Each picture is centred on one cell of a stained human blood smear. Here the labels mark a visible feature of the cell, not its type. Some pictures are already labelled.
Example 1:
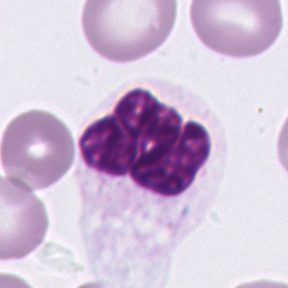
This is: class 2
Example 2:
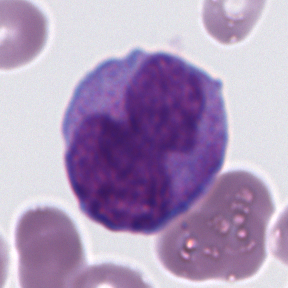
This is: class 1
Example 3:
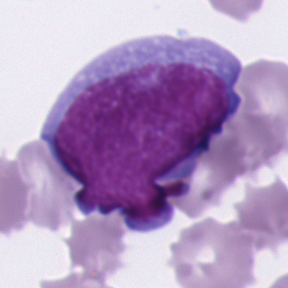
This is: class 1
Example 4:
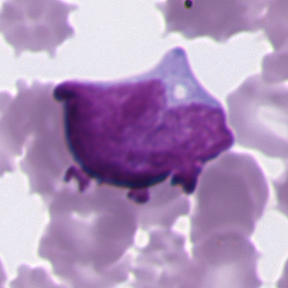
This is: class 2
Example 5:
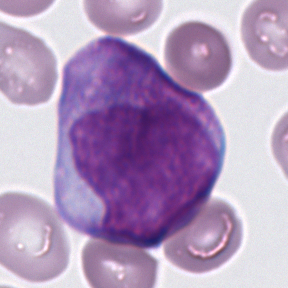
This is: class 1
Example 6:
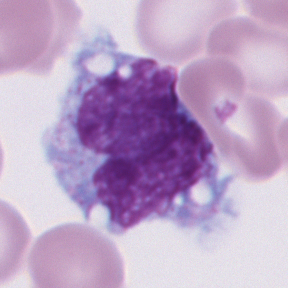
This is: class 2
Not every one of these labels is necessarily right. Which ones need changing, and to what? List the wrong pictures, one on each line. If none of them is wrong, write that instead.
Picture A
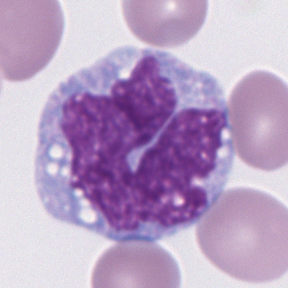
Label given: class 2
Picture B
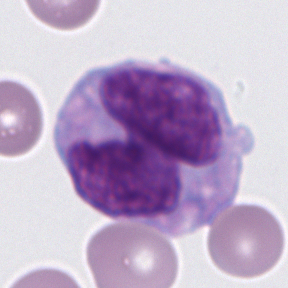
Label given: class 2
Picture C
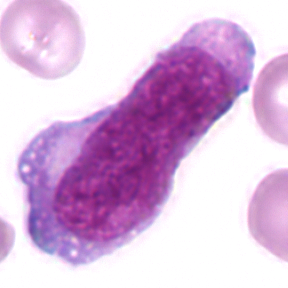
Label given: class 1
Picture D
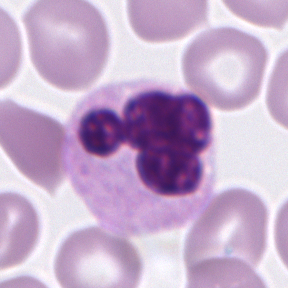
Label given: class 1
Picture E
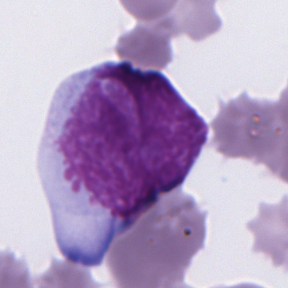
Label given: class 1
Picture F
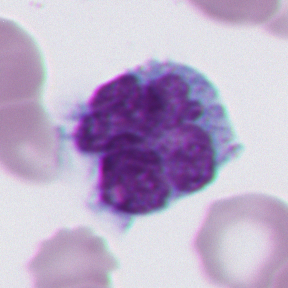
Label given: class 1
C is labelled class 1; correct label: class 2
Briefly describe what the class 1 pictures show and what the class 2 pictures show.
In class 1: no vacuoles. In class 2: vacuoles present.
